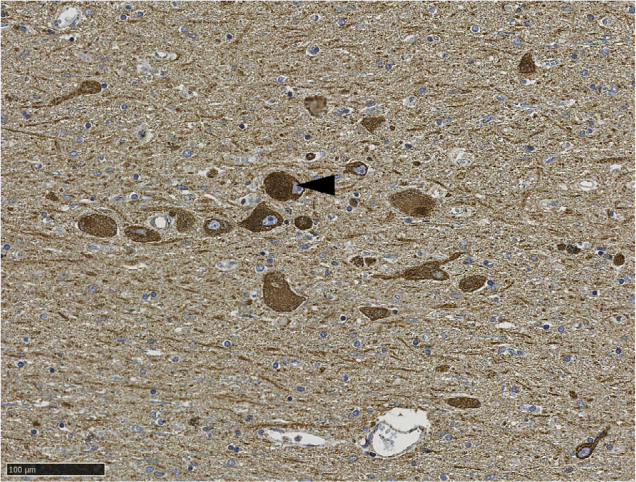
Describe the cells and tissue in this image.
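Large neurons with rounded to angular cell bodies and dark brown cytoplasm are scattered through an evenly brown-stained neuropil crossed by fine brown fibres. Almost all of the neurons seen are uniformly stained, with no pale cells among them. A few small vessels with clear lumens lie within the tissue.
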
